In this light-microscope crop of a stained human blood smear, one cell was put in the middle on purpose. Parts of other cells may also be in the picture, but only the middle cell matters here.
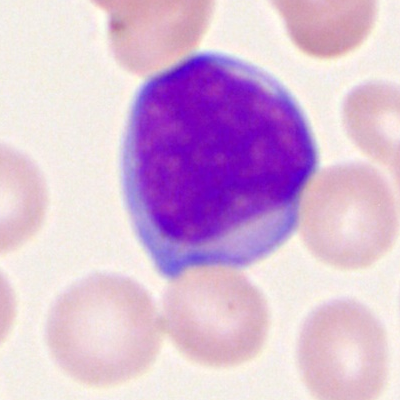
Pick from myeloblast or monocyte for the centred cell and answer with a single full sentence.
Framed in the middle of the crop is a myeloblast.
